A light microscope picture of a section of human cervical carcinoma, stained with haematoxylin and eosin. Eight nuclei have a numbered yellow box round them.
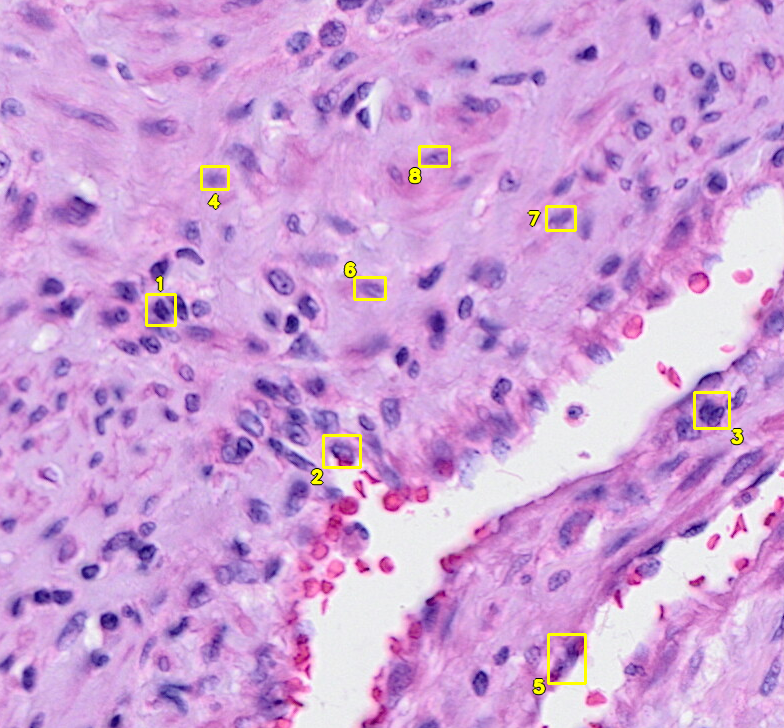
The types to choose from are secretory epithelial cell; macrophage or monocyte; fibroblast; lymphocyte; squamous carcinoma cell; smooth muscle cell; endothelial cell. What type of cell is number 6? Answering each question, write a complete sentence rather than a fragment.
The cell assigned the number 6 is a smooth muscle cell.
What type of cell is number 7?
The mark numbered 7 indicates the nucleus of a smooth muscle cell.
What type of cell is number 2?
Here, the cell given the number 2 is an endothelial cell.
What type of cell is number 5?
The mark numbered 5 indicates the nucleus of an endothelial cell.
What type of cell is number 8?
The marked cell bearing number 8 is a smooth muscle cell.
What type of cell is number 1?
The one labeled 1 is a lymphocyte, to put it simply.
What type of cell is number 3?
The cell marked with the number 3 is a lymphocyte.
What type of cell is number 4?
The cell bearing label 4 corresponds to a fibroblast.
